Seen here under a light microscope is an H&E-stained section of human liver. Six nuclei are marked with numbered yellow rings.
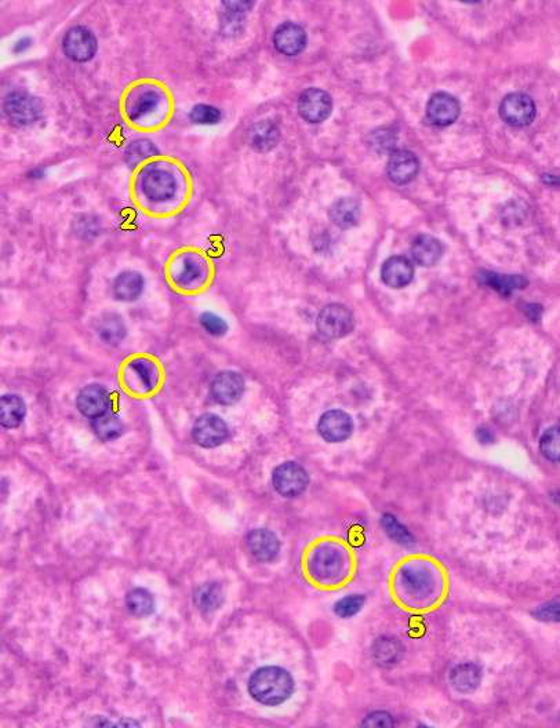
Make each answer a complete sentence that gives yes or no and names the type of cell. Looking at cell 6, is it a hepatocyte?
Yes, the cell that bears number 6 is a hepatocyte.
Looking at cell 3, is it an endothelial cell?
Yes, regarding cell number 3, it is an endothelial cell.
